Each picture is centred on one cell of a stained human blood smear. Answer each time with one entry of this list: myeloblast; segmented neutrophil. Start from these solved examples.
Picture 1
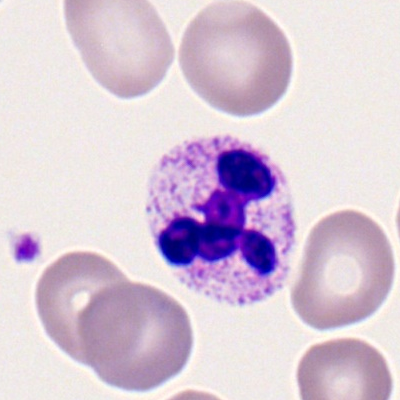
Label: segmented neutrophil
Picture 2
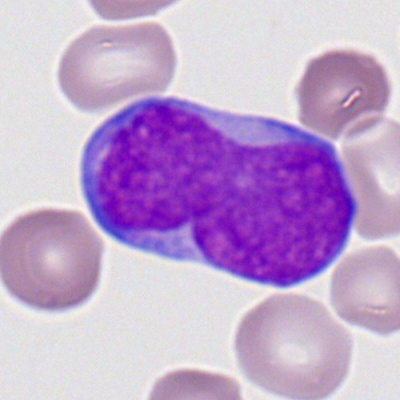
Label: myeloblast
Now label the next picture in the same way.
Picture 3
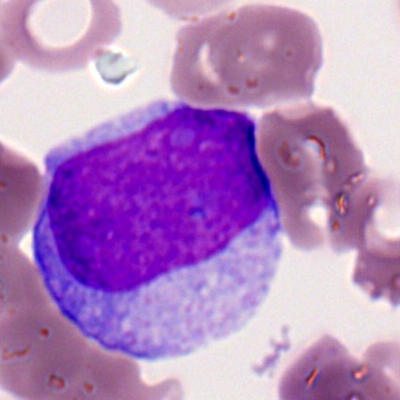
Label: myeloblast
